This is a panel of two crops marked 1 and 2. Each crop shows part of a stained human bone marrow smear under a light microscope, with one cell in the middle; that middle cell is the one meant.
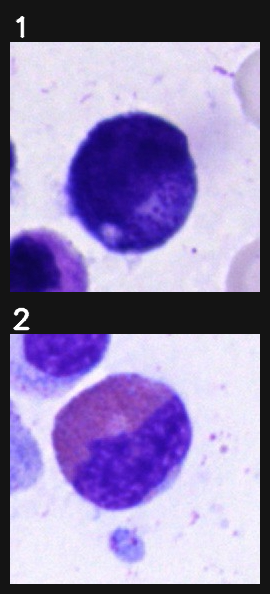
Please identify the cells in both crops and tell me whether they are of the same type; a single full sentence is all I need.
No, crop 1 shows a promyelocyte and crop 2 an eosinophil.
